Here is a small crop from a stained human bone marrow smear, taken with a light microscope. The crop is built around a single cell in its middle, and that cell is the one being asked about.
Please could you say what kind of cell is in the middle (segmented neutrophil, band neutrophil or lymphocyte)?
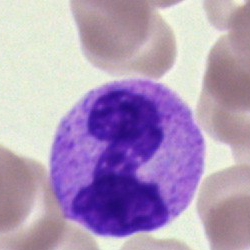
segmented neutrophil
